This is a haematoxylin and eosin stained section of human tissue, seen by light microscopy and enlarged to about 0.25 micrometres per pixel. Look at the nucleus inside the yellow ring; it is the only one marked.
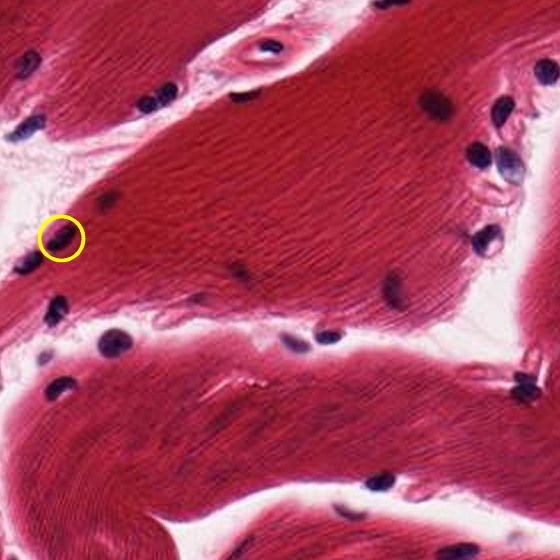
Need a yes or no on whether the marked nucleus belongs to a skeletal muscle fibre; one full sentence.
Yes, the marked nucleus is a part of a skeletal muscle fibre.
